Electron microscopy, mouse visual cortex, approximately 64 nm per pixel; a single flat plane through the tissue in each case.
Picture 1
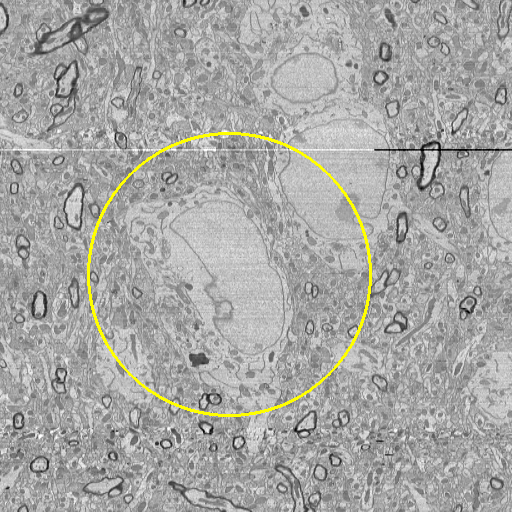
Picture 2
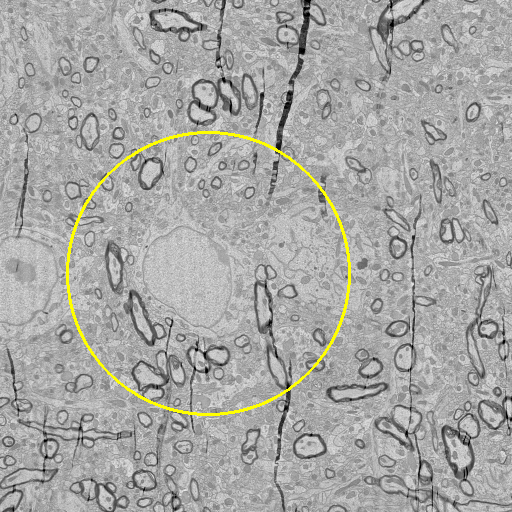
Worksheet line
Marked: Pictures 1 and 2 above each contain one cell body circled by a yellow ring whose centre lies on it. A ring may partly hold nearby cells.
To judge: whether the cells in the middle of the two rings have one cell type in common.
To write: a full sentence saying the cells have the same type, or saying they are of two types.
The cells in the middle of the rings in Picture 1 and Picture 2 are of two types.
